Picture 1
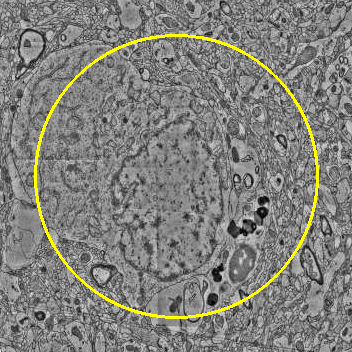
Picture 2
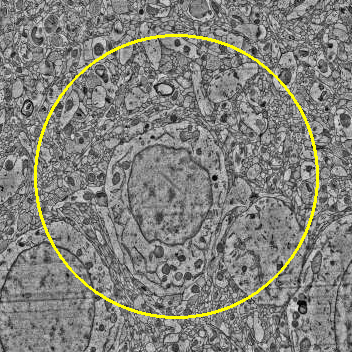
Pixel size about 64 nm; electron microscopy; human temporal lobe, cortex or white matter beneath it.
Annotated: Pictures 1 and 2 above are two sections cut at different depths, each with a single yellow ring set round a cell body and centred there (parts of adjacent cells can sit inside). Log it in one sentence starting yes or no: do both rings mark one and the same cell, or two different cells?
No, the two rings were placed on two different cells.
